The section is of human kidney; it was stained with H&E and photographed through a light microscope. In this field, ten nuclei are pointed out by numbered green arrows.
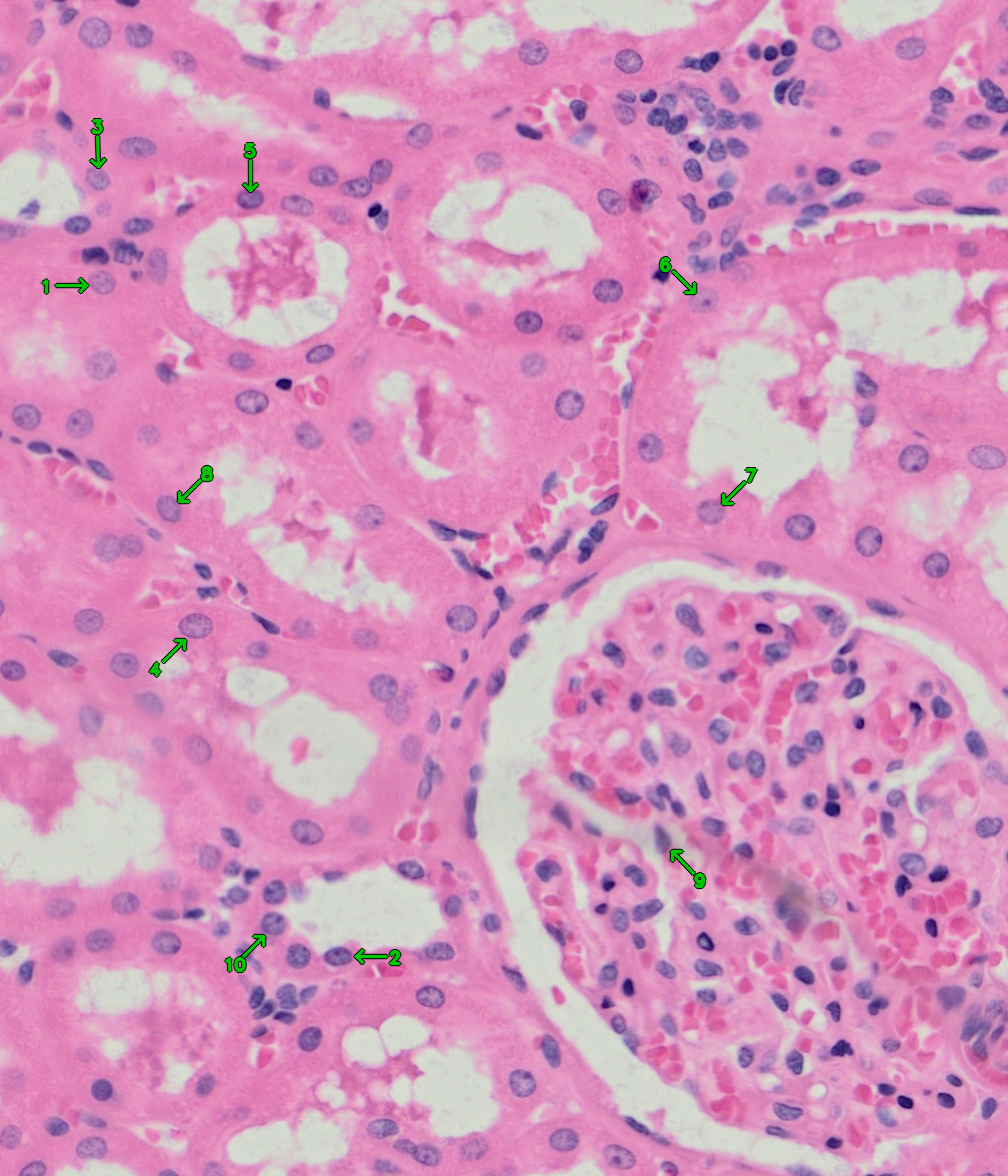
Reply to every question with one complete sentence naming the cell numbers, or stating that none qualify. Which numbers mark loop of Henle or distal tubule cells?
The cells picked out by numbers 2, 3 and 10 are loop of Henle or distal tubule cells.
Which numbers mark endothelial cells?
Only the cell numbered 9 is an endothelial cell, and the others are something else.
